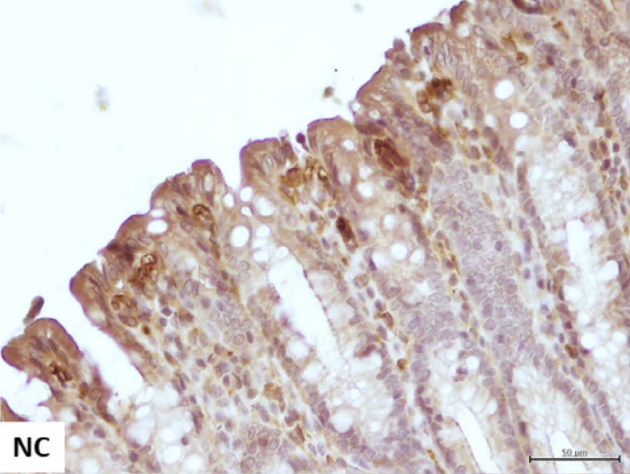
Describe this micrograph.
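Colonic mucosa cut lengthwise, with straight crypts of columnar epithelium running toward the luminal surface, which is at the upper left. The surface epithelium and the upper parts of the crypts are stained a strong brown, the stain being densest at the surface where the mucosa forms small tufts. Pale, rounded goblet cells with clear mucus are scattered along the crypts. Between the crypts lies a cellular lamina propria with oval blue nuclei, and some of its cells also take up brown stain. Crypt lumens appear as narrow clear slits.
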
